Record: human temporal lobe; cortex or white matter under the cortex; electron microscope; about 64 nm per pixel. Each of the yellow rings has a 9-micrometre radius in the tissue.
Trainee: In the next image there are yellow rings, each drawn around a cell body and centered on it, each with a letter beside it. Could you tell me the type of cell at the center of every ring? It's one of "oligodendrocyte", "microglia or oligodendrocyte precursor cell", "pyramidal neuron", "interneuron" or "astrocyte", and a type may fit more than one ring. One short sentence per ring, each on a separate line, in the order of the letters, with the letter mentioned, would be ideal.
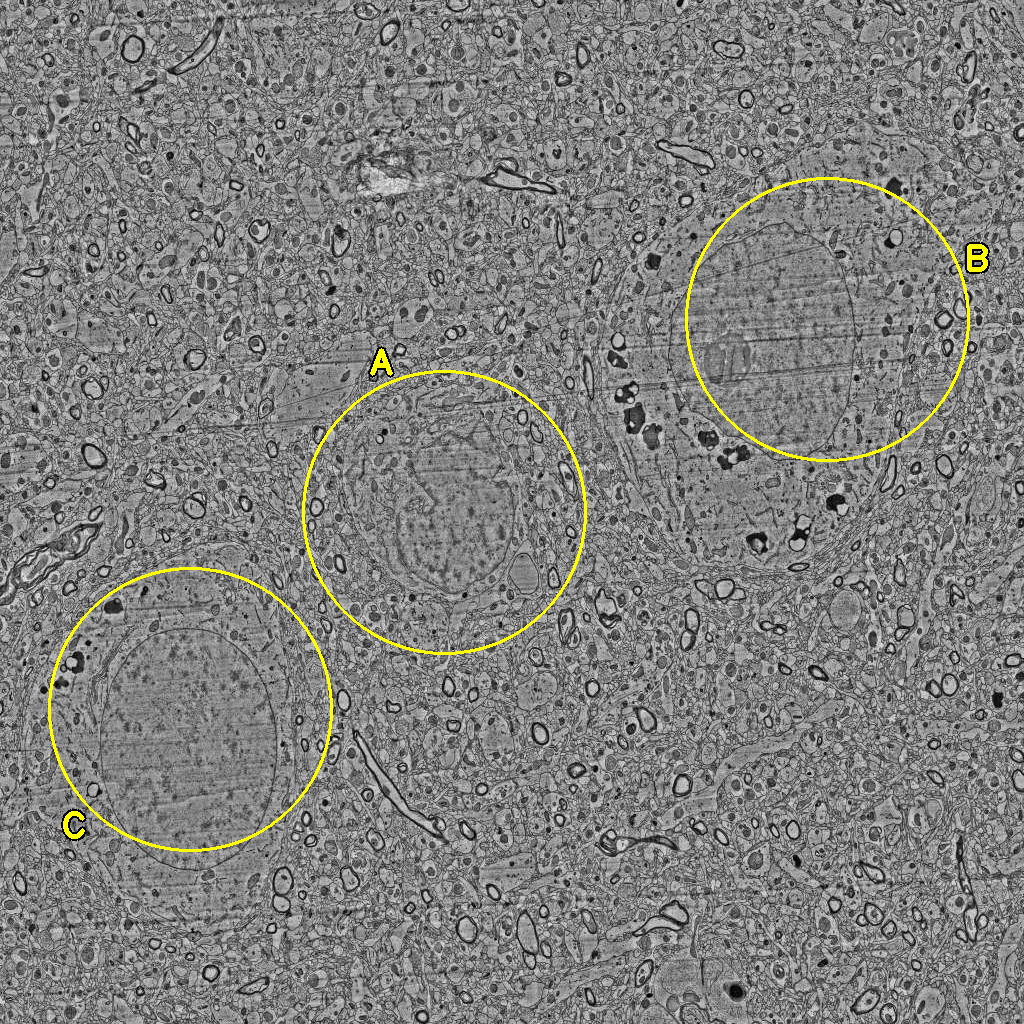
What ring A is centered on is an interneuron.
What ring B is centered on is a pyramidal neuron.
What ring C is centered on is a pyramidal neuron.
